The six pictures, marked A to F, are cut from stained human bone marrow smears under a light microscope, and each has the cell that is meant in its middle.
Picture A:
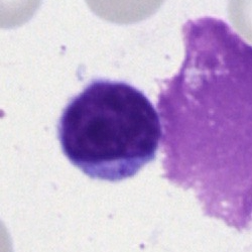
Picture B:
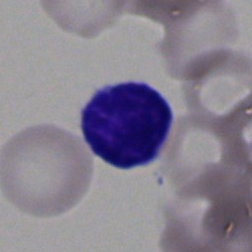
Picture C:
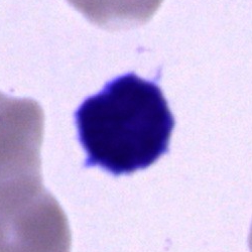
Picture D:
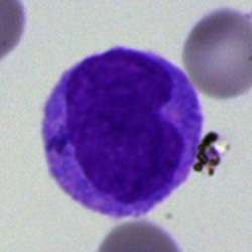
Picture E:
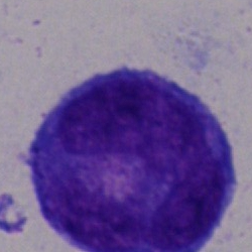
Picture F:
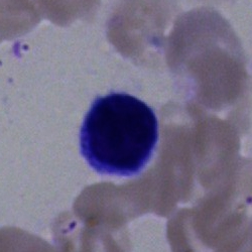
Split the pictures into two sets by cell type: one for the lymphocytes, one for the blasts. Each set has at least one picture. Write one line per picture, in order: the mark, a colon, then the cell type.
A: lymphocyte
B: lymphocyte
C: lymphocyte
D: blast
E: blast
F: lymphocyte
